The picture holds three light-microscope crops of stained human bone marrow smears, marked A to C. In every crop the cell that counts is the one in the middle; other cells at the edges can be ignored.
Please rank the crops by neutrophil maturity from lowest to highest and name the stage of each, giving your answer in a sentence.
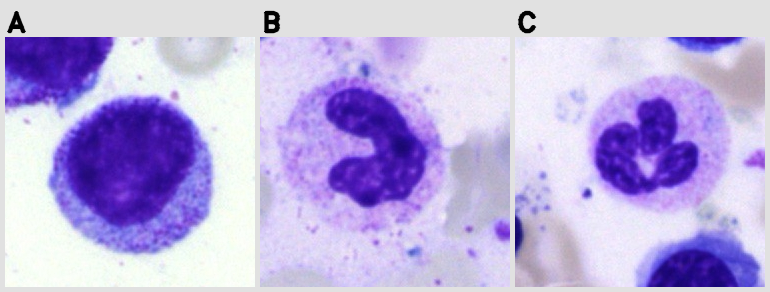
Reading from least to most mature, the order comes out as crop A (a myelocyte), crop B (a band neutrophil) and crop C (a segmented neutrophil).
